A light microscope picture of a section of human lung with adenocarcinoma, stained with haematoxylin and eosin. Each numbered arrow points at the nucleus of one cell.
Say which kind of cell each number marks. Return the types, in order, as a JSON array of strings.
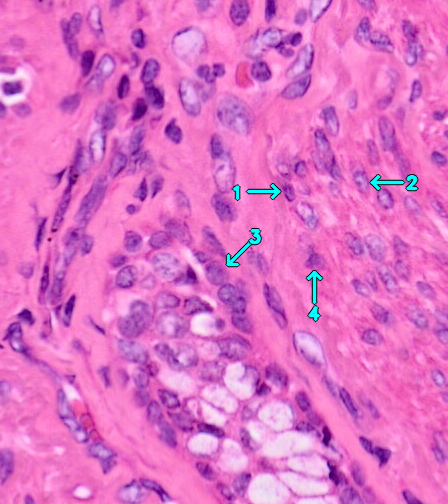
["smooth muscle cell or pericyte", "smooth muscle cell or pericyte", "ciliated epithelial cell", "smooth muscle cell or pericyte"]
